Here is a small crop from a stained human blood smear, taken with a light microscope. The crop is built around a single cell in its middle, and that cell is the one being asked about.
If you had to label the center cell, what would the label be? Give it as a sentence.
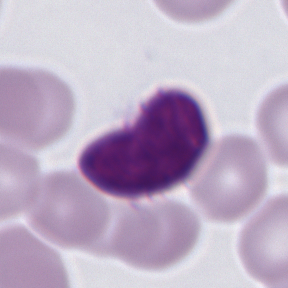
The cell sitting right in the middle is a smudge cell.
